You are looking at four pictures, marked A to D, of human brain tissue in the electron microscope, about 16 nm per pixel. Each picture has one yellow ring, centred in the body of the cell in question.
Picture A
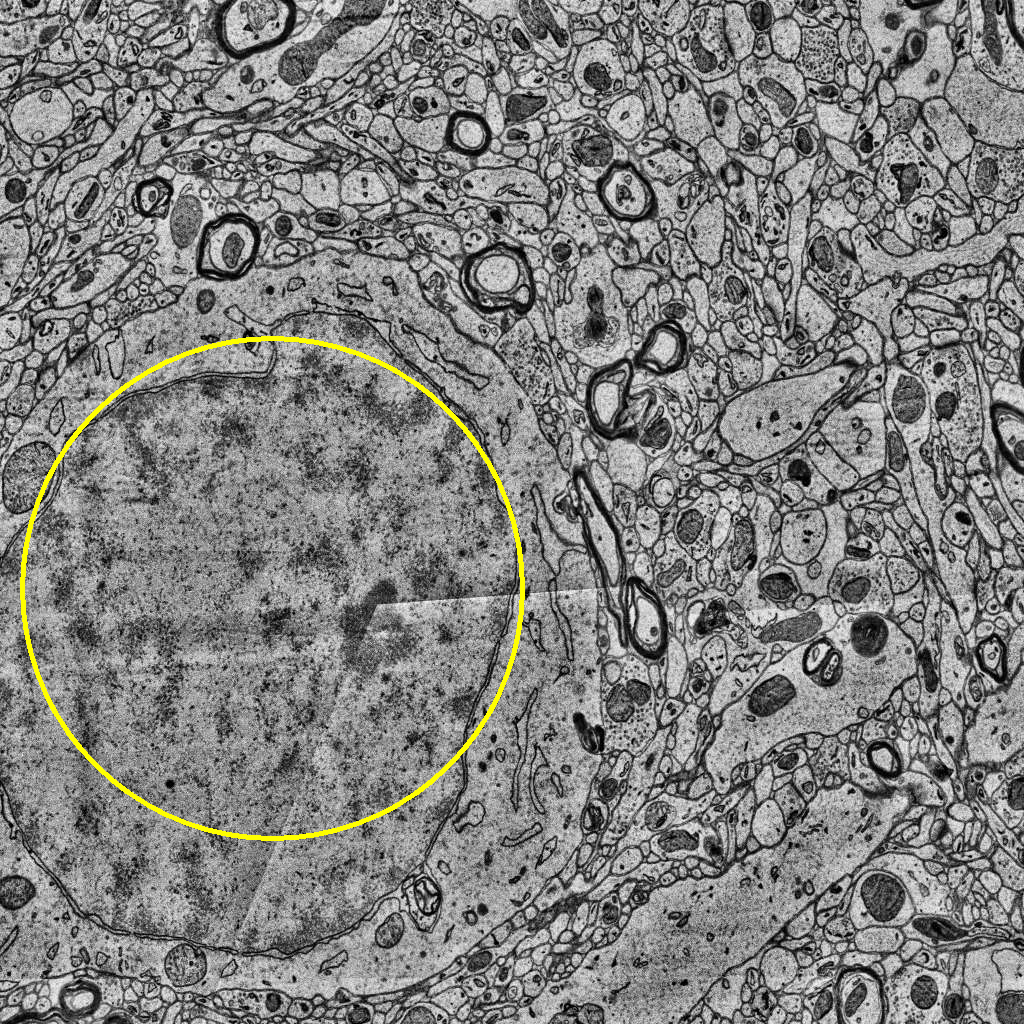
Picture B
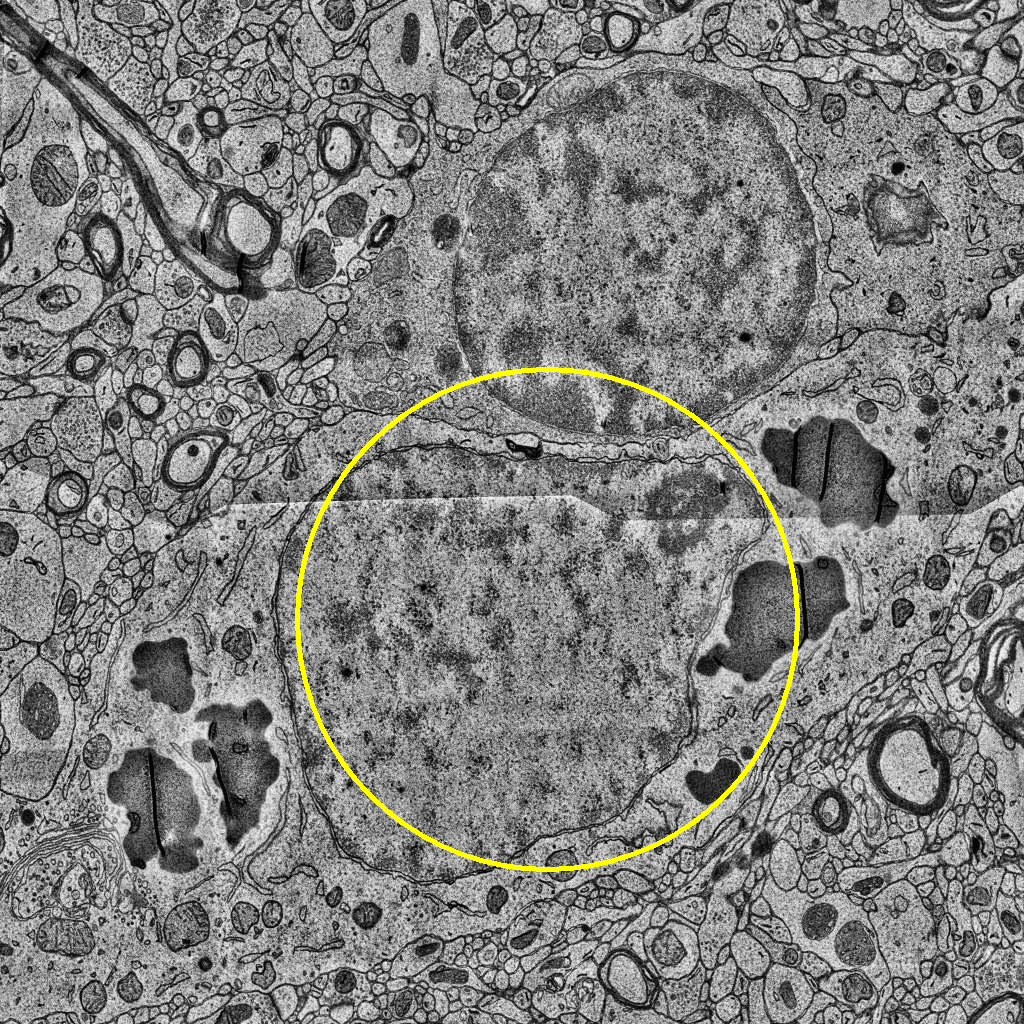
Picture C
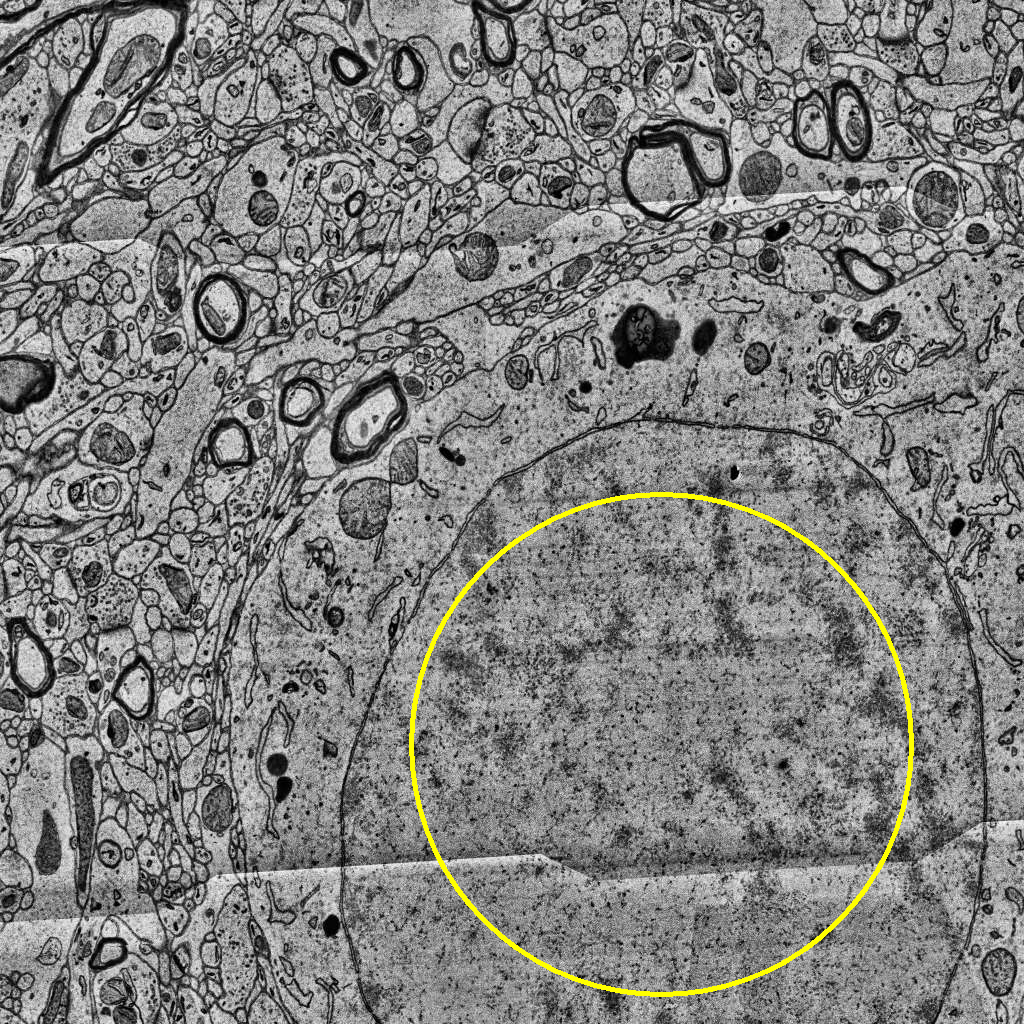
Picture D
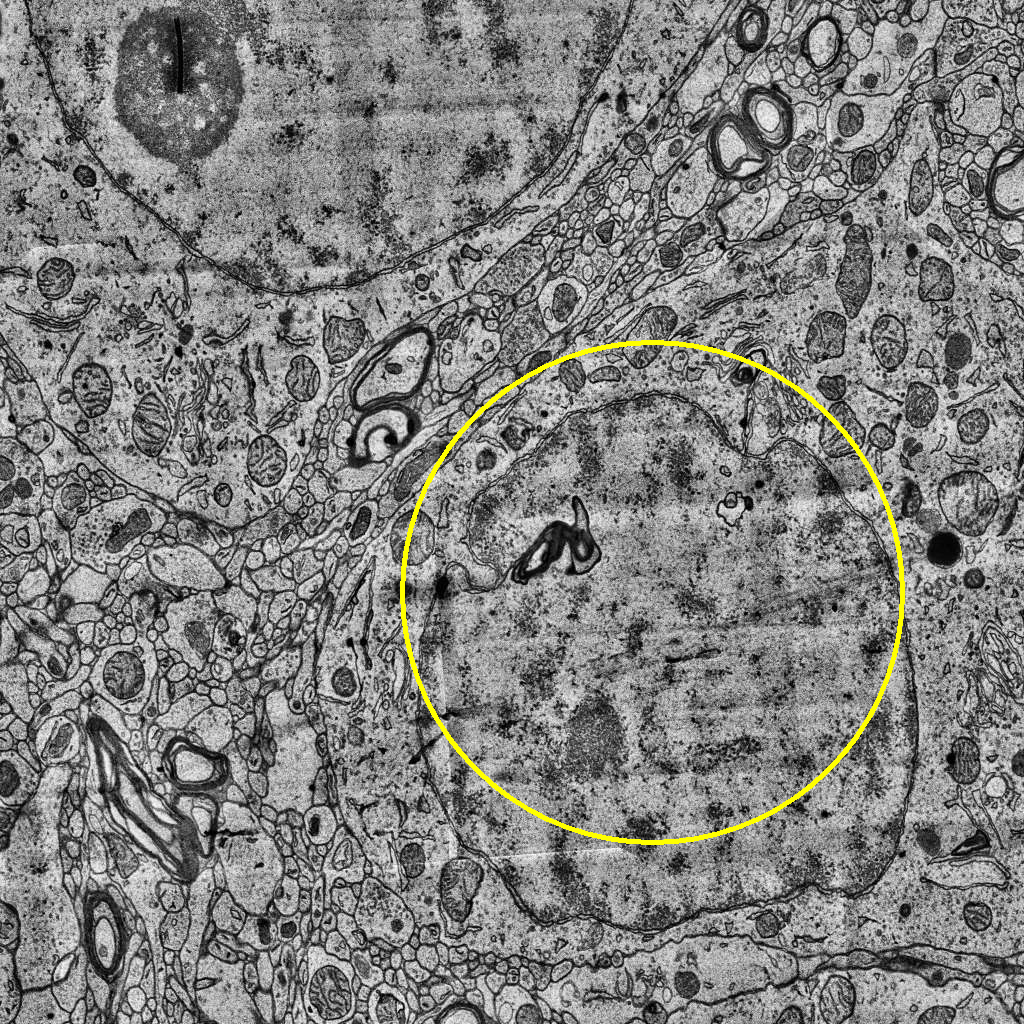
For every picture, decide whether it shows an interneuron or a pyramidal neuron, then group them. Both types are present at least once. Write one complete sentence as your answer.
Pictures A, B and D show interneurons, while picture C shows a pyramidal neuron.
